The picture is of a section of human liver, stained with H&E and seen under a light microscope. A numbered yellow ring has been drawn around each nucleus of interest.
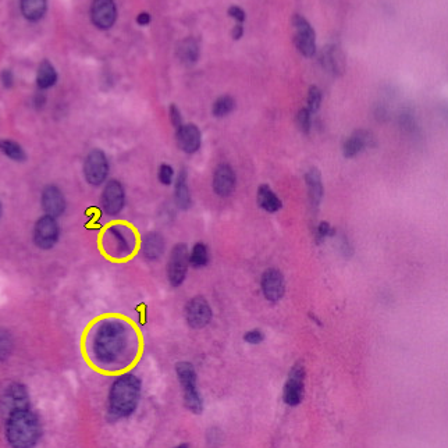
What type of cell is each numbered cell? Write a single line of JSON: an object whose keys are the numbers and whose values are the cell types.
{"1": "hepatocyte", "2": "endothelial cell"}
